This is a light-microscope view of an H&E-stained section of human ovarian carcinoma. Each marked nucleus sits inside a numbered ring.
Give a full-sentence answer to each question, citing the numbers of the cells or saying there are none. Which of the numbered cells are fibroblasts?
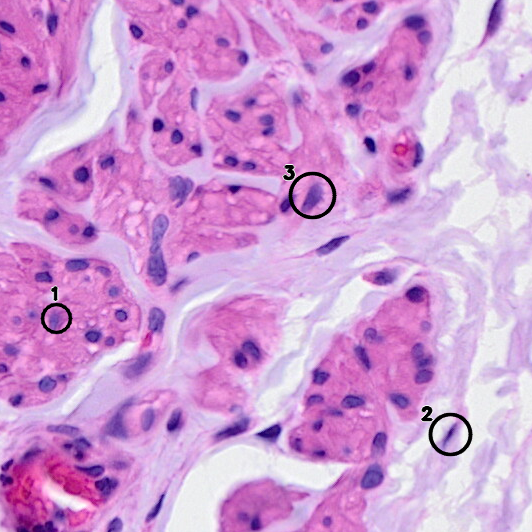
Of all the numbered cells, only one is a fibroblast, and that is cell 2.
